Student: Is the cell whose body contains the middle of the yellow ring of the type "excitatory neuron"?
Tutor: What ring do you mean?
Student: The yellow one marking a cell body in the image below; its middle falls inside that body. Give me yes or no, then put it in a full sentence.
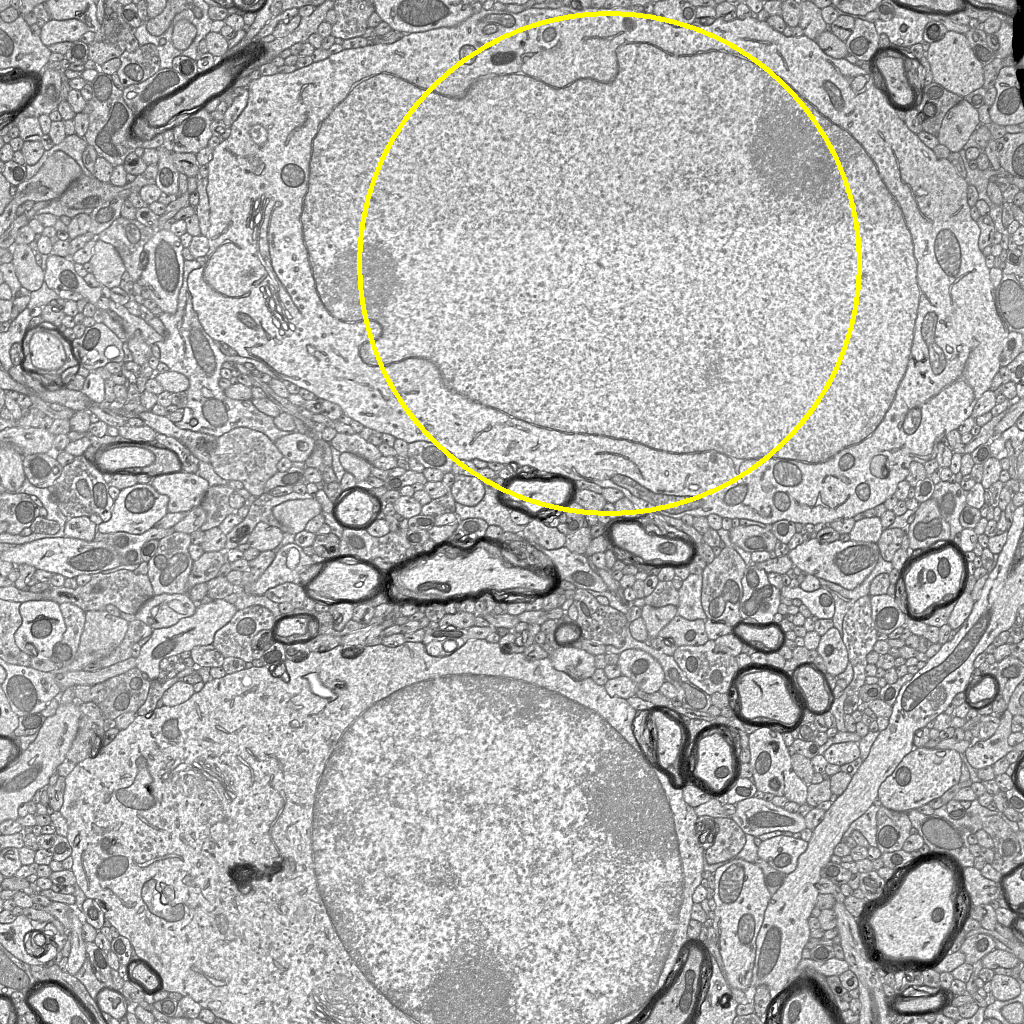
Yes, the cell whose body holds the middle of the yellow ring in the image has that type.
